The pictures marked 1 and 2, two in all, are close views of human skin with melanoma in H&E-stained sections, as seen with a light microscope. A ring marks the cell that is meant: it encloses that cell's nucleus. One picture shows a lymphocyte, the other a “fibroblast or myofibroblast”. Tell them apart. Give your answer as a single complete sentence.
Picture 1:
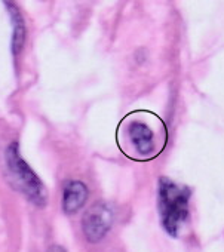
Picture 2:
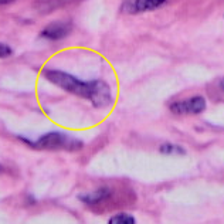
Picture 2 shows a “fibroblast or myofibroblast”, while picture 1 shows a lymphocyte.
